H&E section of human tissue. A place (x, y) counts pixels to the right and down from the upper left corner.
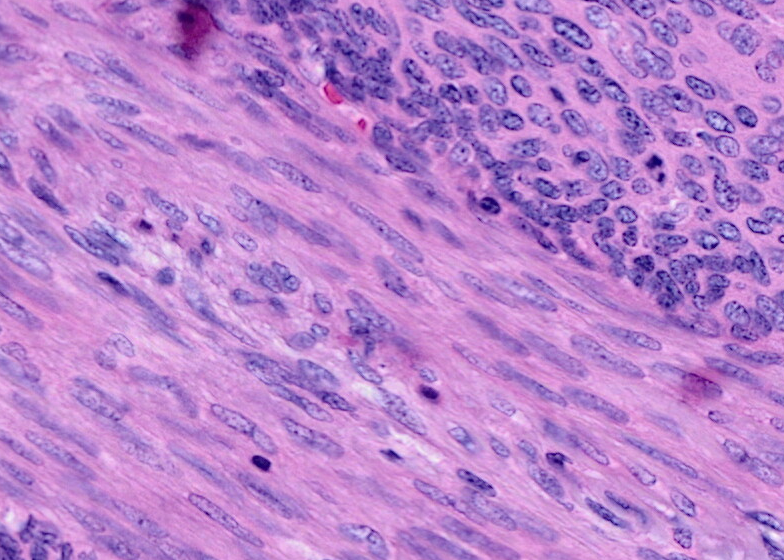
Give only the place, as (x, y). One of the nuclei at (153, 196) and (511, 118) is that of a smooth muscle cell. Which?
(153, 196)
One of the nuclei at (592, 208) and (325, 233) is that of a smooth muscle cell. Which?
(325, 233)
